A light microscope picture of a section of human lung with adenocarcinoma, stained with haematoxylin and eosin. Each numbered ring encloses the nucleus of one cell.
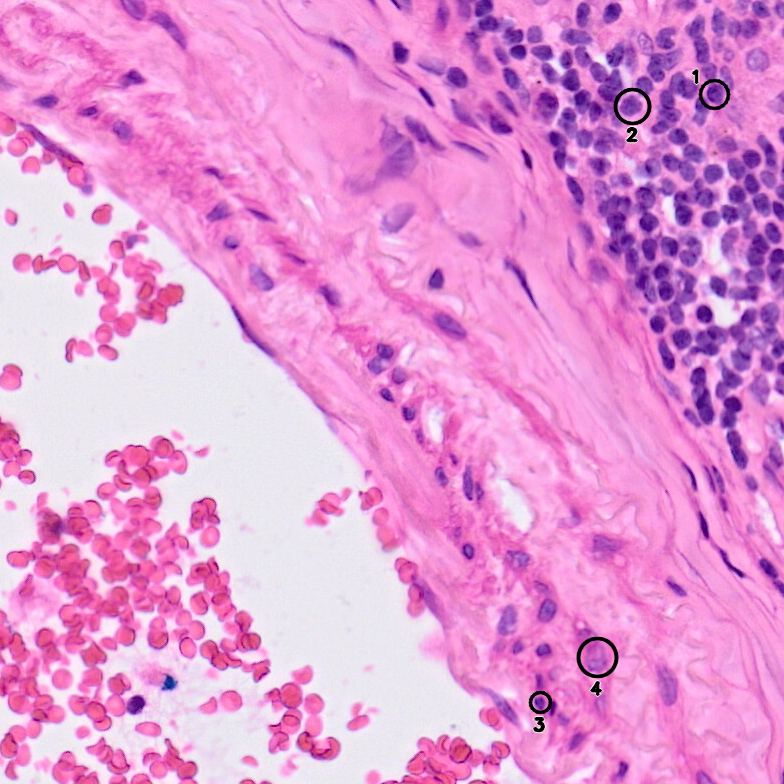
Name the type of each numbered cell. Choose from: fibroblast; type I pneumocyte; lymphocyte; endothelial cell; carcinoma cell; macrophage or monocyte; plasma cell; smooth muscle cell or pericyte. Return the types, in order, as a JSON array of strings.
["lymphocyte", "lymphocyte", "smooth muscle cell or pericyte", "smooth muscle cell or pericyte"]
